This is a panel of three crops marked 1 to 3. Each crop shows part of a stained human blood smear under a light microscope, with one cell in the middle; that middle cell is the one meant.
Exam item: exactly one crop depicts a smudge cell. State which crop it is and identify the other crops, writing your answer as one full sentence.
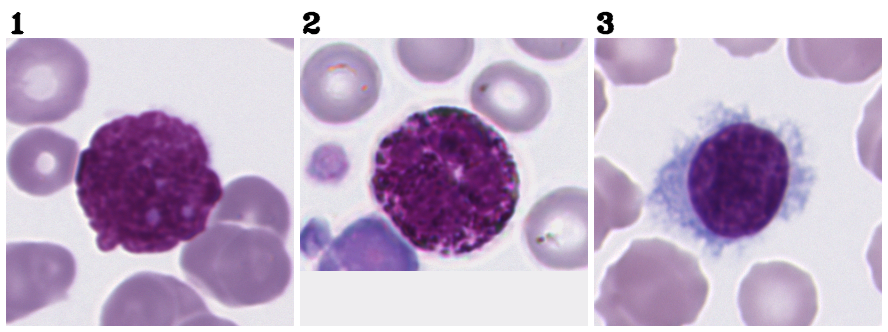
Crop 1 presents a smudge cell at its centre, whereas crop 2 is a basophil and crop 3 is a hairy cell.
